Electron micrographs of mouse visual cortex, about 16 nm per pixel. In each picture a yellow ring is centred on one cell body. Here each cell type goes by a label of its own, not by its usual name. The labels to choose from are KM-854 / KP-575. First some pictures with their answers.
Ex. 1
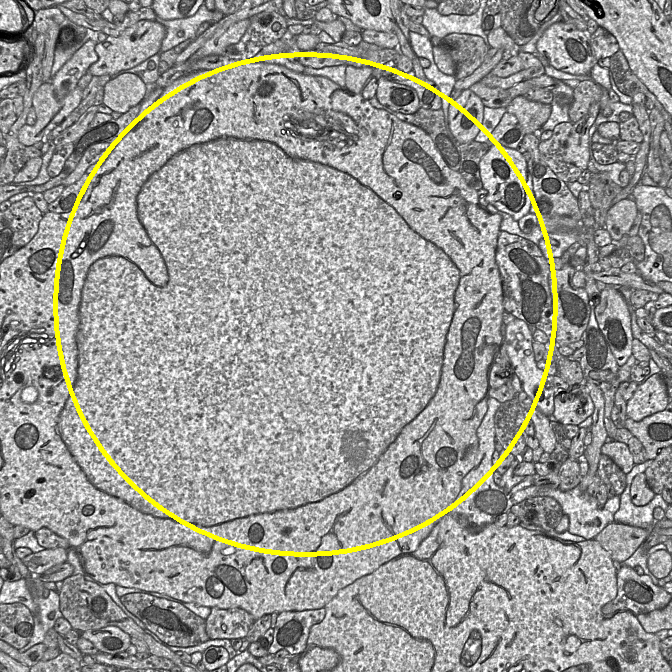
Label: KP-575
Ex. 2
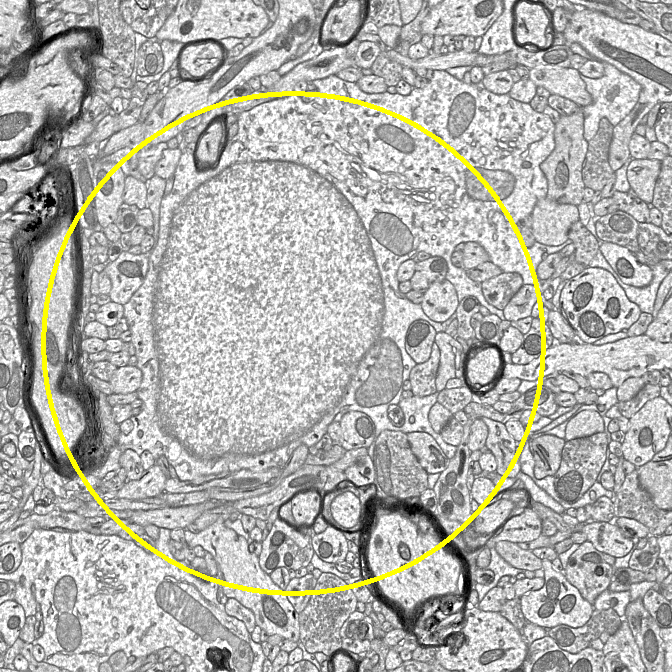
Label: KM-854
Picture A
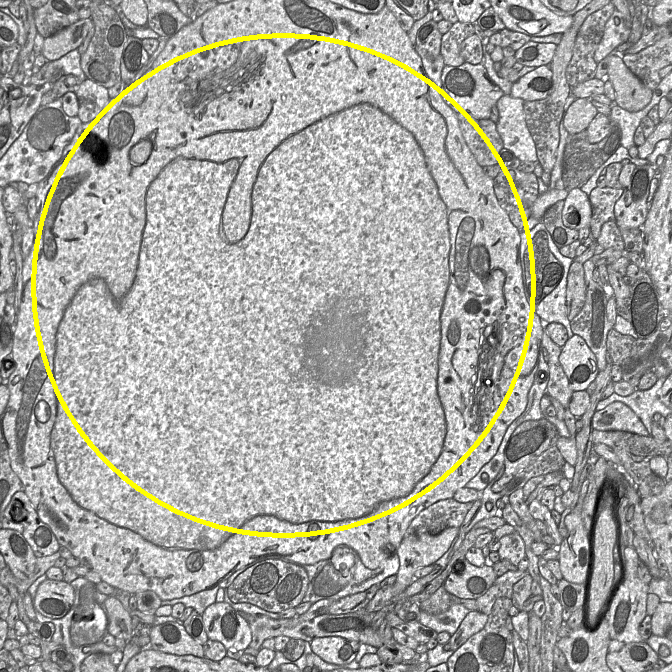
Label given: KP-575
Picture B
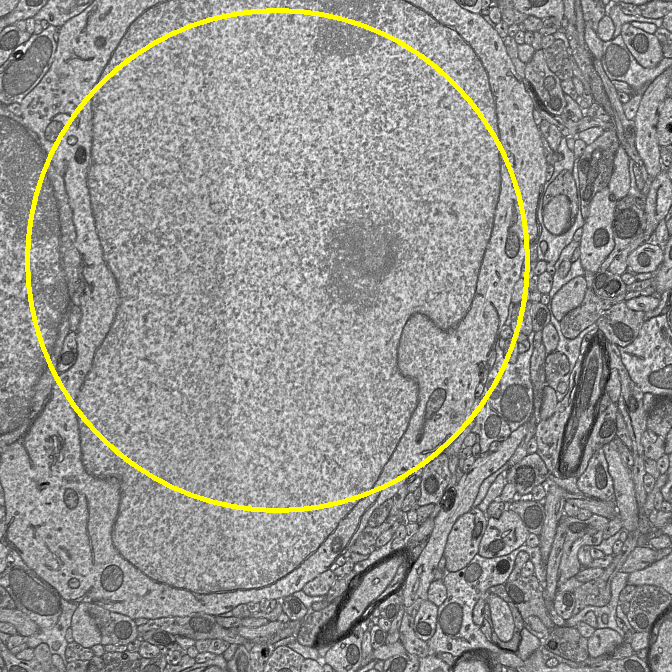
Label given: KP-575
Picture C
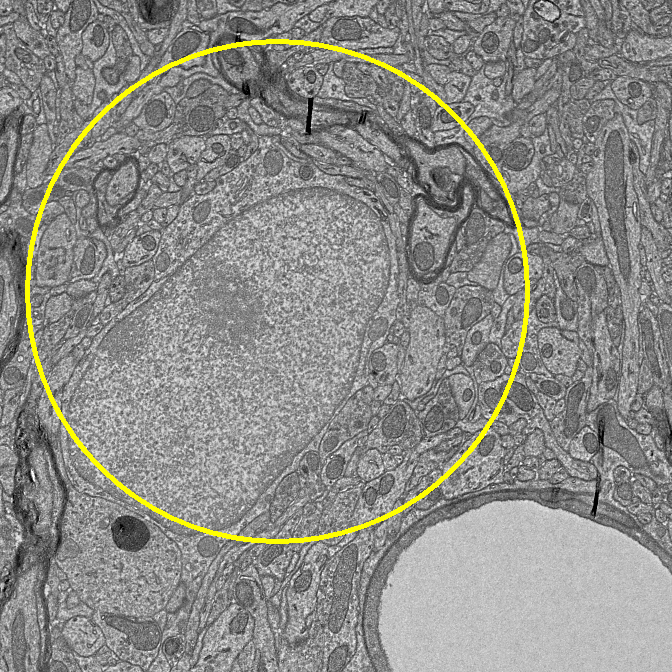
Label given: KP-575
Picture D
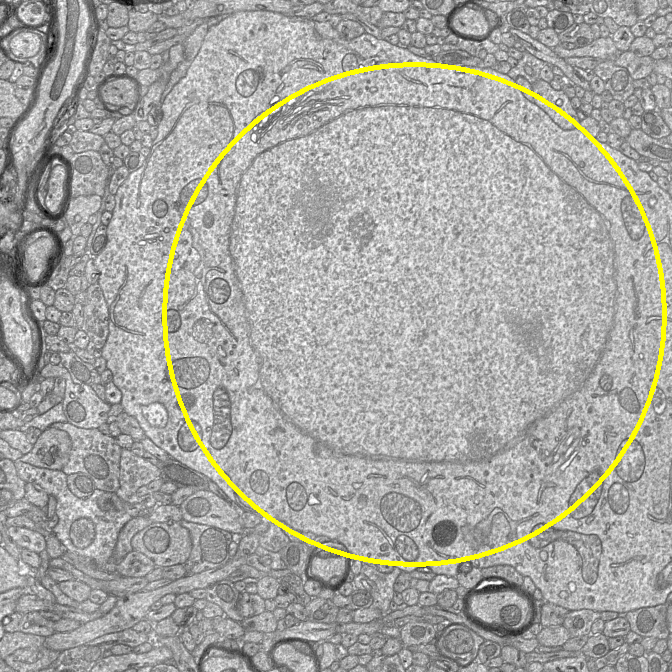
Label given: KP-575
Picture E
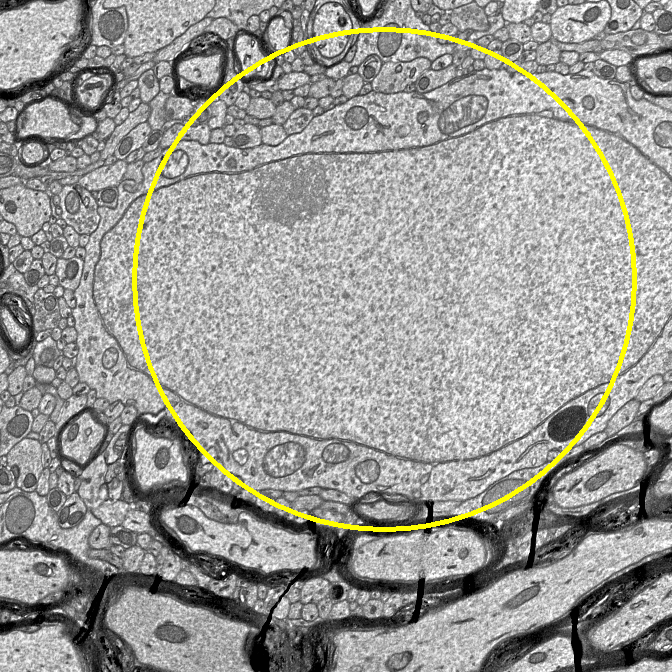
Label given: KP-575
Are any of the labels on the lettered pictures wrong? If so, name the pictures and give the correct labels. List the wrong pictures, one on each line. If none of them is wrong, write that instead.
C: KM-854, not KP-575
